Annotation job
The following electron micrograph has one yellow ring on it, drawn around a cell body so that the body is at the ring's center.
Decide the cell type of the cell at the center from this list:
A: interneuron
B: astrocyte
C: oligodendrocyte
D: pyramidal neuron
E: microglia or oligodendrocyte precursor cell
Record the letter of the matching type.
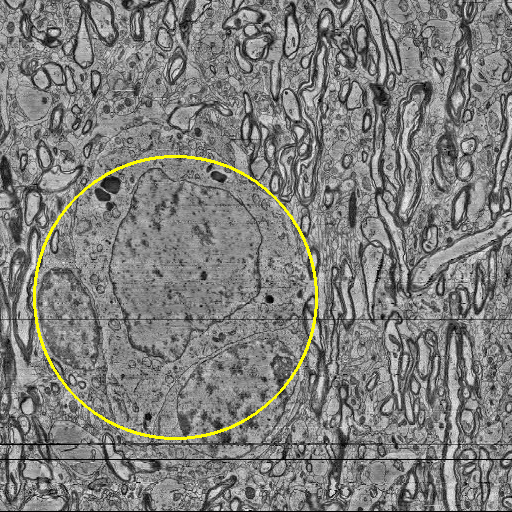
D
